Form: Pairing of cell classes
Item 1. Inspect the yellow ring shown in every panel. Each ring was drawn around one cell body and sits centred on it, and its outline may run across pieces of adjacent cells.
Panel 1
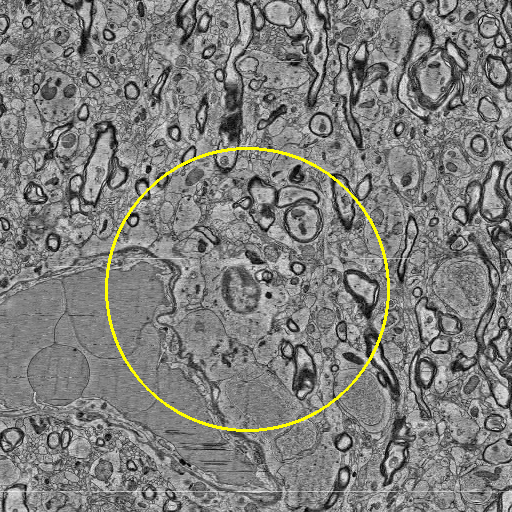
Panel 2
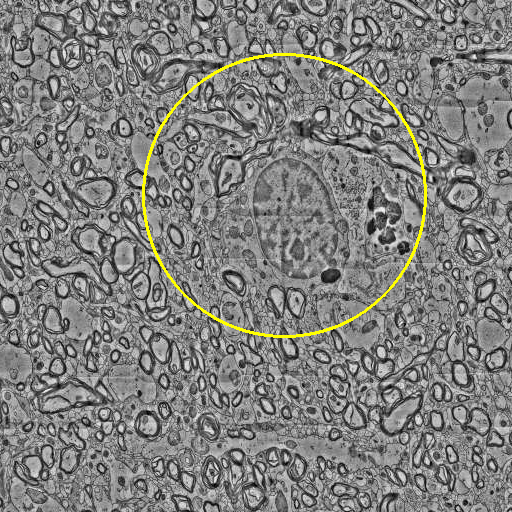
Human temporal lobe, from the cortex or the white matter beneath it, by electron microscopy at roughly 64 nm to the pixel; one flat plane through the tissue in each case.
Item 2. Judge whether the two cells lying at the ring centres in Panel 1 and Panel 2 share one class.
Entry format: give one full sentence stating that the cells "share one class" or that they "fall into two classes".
The cells at the ring centres in Panel 1 and Panel 2 fall into two classes.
